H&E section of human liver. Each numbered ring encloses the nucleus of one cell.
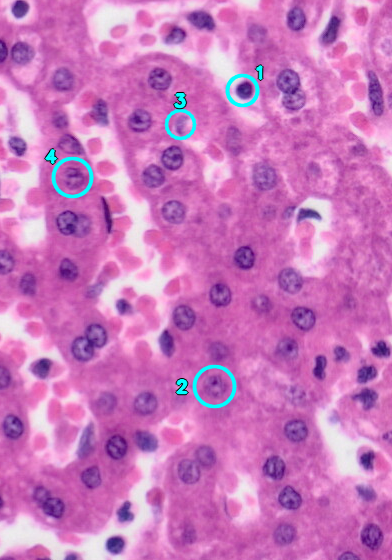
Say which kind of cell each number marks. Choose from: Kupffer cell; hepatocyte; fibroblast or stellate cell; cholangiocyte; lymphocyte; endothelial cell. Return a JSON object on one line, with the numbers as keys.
{"1": "lymphocyte", "2": "hepatocyte", "3": "endothelial cell", "4": "hepatocyte"}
